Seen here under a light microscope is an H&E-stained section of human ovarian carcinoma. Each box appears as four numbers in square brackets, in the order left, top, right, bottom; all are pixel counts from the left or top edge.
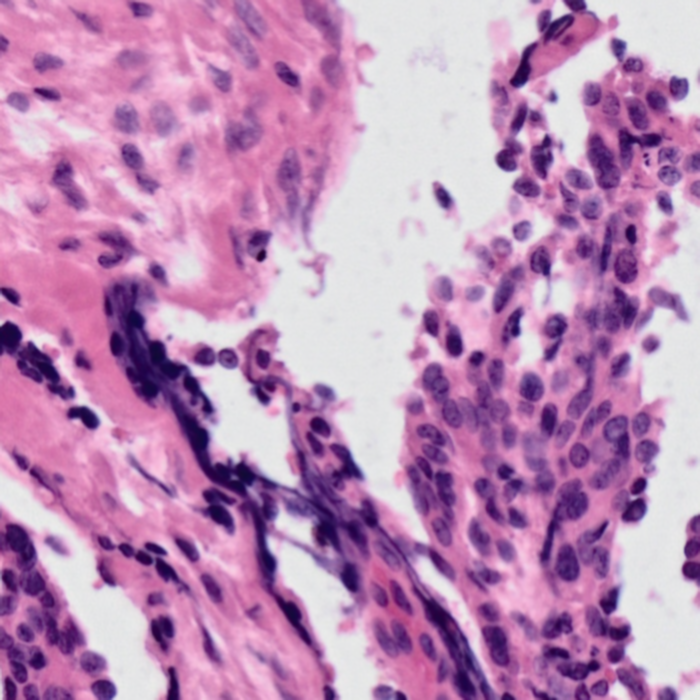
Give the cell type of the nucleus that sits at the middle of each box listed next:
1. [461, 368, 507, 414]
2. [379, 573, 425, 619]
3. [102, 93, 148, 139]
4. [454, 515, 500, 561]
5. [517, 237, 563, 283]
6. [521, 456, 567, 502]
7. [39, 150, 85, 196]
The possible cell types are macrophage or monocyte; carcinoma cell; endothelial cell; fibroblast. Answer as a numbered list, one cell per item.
1. carcinoma cell
2. endothelial cell
3. fibroblast
4. carcinoma cell
5. macrophage or monocyte
6. carcinoma cell
7. fibroblast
